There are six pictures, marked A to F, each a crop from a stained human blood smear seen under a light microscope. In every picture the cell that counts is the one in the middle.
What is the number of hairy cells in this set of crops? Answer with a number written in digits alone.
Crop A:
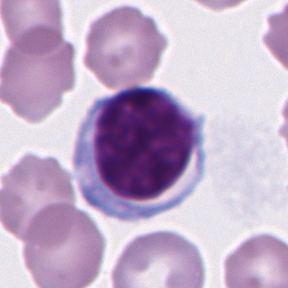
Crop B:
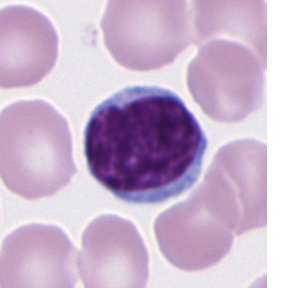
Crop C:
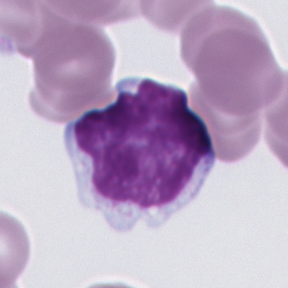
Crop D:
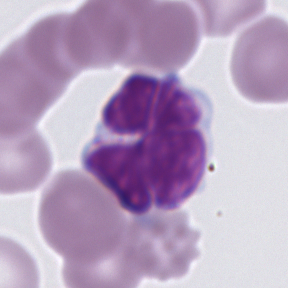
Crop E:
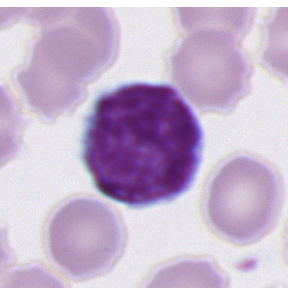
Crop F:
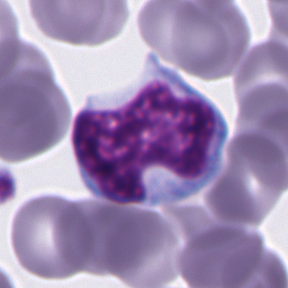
0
